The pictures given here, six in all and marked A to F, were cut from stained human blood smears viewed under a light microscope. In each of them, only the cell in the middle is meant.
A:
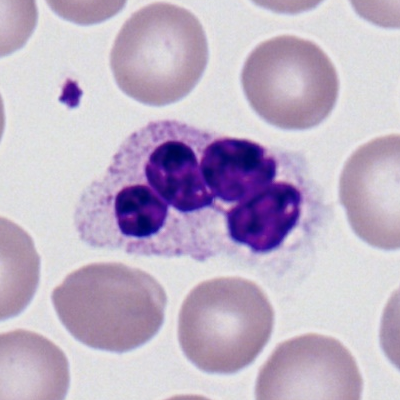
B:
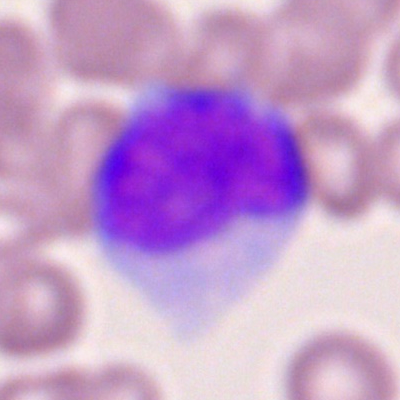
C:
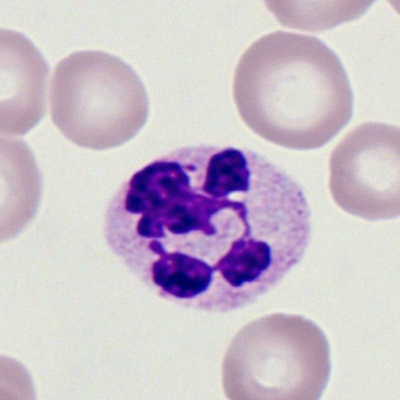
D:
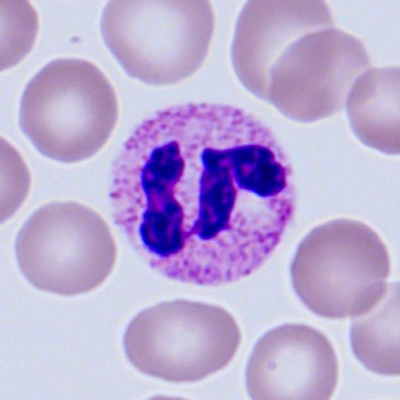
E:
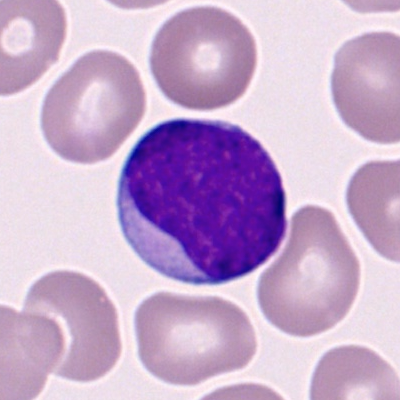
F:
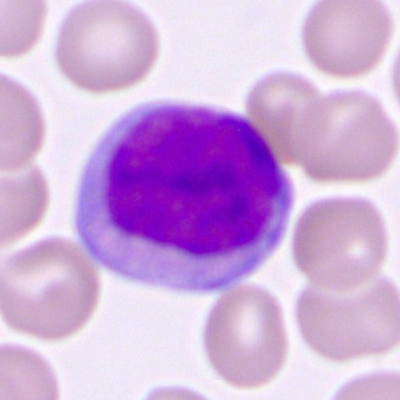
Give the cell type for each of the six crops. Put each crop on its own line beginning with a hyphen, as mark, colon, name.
- A: neutrophil
- B: monocyte
- C: neutrophil
- D: neutrophil
- E: blast
- F: blast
